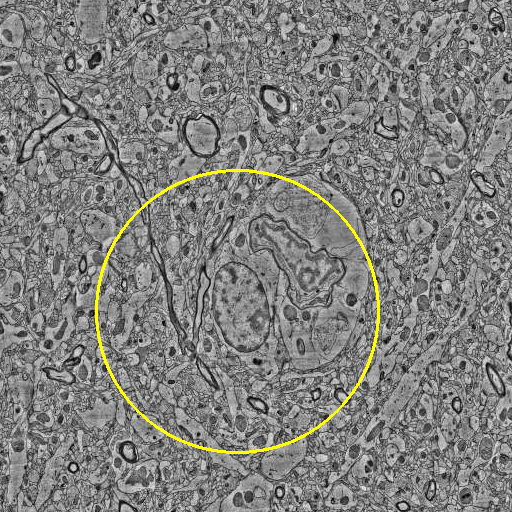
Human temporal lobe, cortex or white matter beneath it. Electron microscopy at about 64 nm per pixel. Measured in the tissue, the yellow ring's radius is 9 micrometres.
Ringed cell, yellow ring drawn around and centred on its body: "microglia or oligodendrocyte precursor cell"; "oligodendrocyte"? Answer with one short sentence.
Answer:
This ringed cell is a microglial cell or oligodendrocyte precursor cell.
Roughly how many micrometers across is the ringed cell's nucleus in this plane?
In this plane the nucleus measures roughly 6 by 4 micrometers.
